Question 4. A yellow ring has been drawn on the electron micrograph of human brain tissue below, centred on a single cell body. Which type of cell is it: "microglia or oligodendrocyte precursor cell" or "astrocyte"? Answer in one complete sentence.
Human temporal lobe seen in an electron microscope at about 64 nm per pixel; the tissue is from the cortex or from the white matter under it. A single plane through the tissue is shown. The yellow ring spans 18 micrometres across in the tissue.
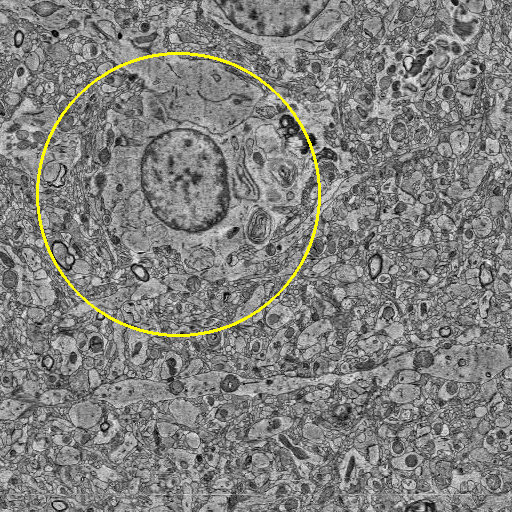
This cell body belongs to an astrocyte.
